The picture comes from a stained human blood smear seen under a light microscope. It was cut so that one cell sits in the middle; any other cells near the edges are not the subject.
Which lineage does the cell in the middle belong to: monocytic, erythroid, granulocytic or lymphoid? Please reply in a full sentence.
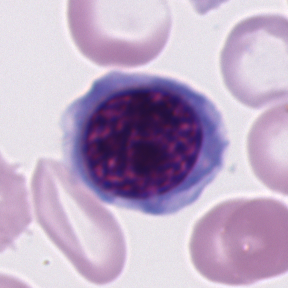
The cell at the crop's center sits within the erythroid lineage.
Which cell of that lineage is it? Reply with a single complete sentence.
As for the cell in the middle, it is a normoblast.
